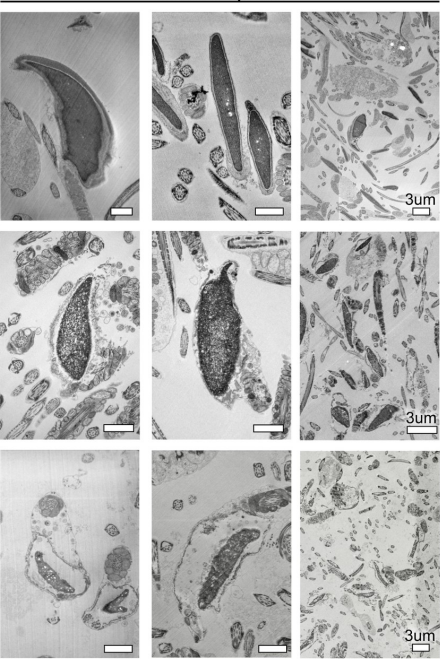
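Mature sperm, transmission electron microscopy: elongated, dense sperm heads cut lengthwise lie among numerous cross- and oblique sections of tails with mitochondrial sheaths. Several heads show mottled, unevenly dense chromatin instead of a homogeneous dark nucleus.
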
